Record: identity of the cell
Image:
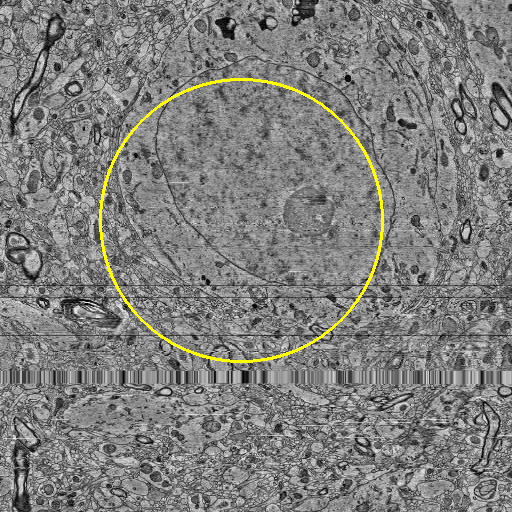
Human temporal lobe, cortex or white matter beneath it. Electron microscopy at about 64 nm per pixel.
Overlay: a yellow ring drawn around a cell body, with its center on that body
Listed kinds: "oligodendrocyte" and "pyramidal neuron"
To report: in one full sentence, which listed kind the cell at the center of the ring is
In the image, the cell body at the ring's center belongs to a pyramidal neuron.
